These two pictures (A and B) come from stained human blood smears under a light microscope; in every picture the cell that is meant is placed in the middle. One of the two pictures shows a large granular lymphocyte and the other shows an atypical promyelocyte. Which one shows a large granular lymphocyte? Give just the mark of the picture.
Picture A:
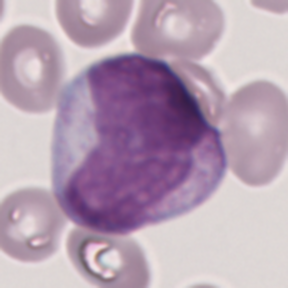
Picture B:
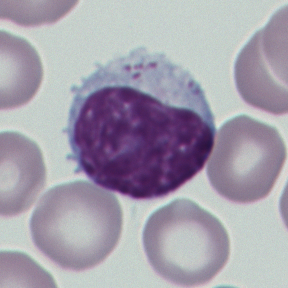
B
